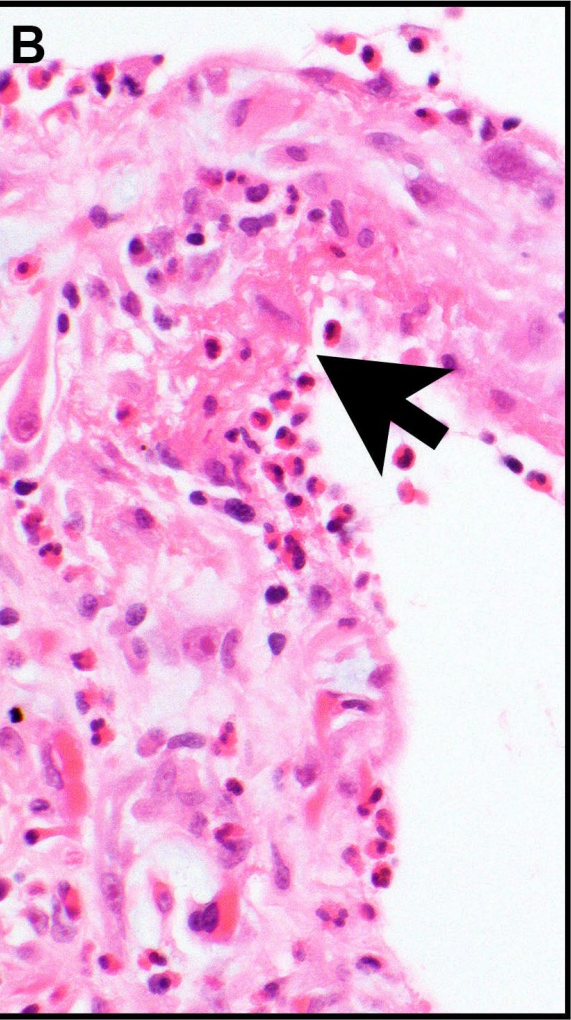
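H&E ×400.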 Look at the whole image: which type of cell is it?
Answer: eosinophils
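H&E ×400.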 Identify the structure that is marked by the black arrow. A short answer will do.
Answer: Hyaline membrane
